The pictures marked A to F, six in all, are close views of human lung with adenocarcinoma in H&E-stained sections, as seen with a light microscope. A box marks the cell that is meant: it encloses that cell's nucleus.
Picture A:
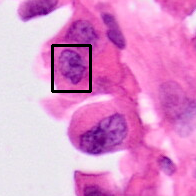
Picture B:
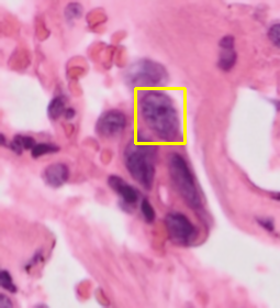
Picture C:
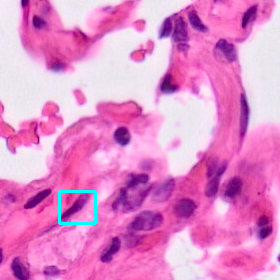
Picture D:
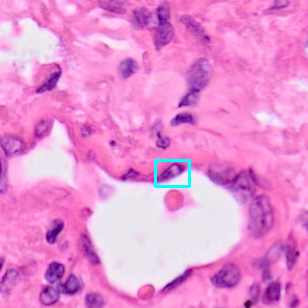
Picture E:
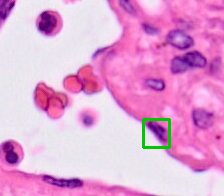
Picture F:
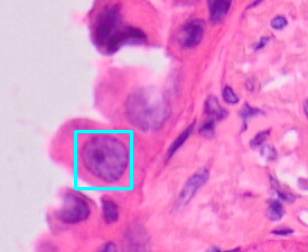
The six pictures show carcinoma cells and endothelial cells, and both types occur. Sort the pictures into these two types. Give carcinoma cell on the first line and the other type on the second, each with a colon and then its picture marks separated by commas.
carcinoma cell: A, B, F
endothelial cell: C, D, E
